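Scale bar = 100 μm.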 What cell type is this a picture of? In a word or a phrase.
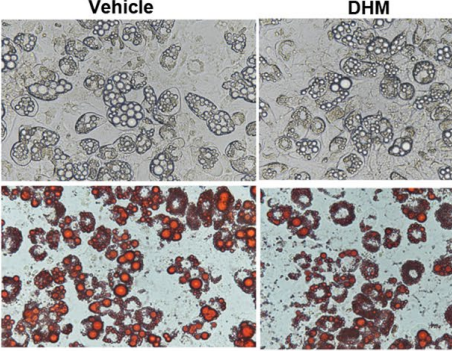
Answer: Adipocytes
